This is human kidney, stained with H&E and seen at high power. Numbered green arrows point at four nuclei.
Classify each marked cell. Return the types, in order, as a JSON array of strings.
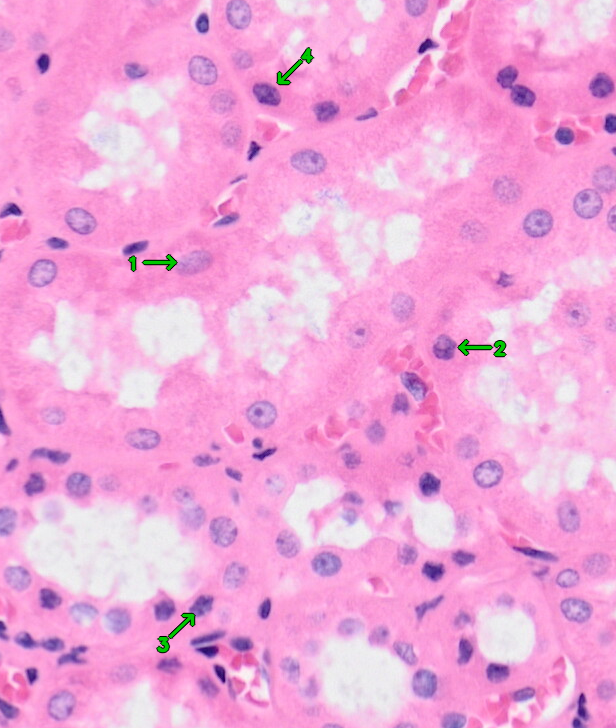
["proximal tubule cell", "proximal tubule cell", "loop of Henle or distal tubule cell", "proximal tubule cell"]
